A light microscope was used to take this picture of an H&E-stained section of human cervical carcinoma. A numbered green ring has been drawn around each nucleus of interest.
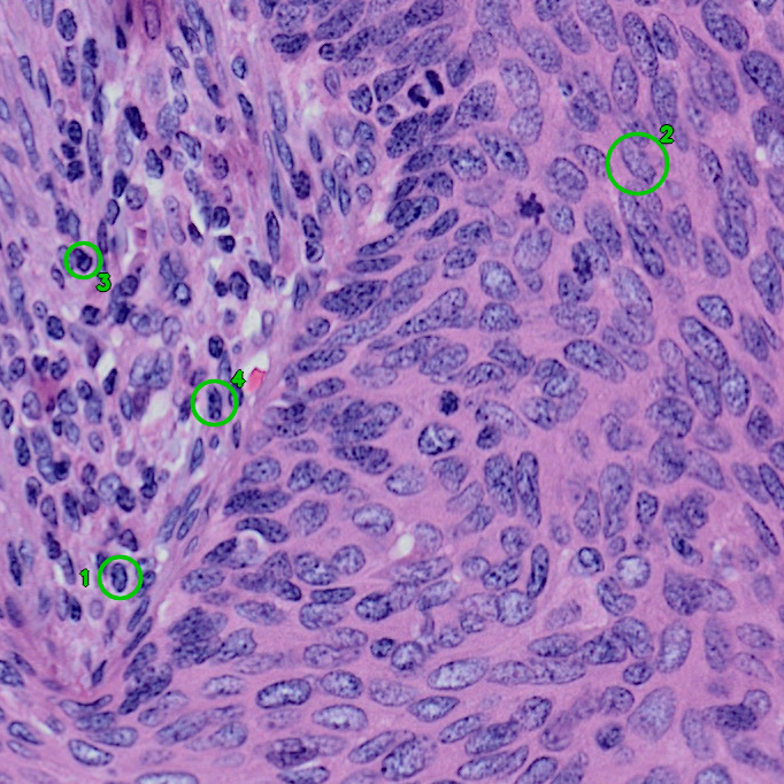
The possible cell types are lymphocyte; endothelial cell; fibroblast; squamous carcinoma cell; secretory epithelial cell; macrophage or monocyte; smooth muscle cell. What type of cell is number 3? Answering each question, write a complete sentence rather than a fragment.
In this section, the cell numbered 3 is a lymphocyte.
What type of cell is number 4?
The marked nucleus 4 is that of a lymphocyte.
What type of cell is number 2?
Among the marked nuclei, number 2 belongs to a squamous carcinoma cell.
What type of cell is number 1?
Marked with the number 1, this cell is a lymphocyte.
